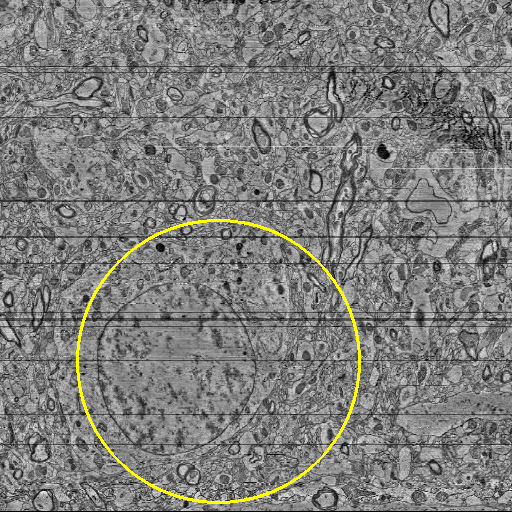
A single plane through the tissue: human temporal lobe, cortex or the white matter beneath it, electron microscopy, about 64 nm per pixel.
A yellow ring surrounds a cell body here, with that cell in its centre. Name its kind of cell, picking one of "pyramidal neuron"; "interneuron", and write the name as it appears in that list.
pyramidal neuron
